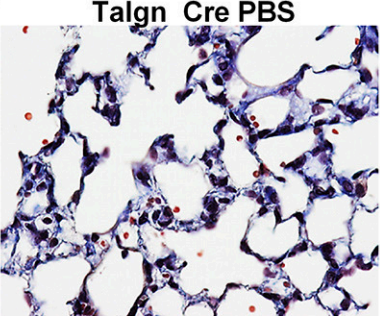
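This is parenchyma with a delicate lace of thin walls surrounding wide, open airspaces. Dark purple nuclei sit along the thin septa, and a few red cells lie scattered in the spaces and walls. Only faint blue is seen, and no thick fibrous deposits are present.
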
